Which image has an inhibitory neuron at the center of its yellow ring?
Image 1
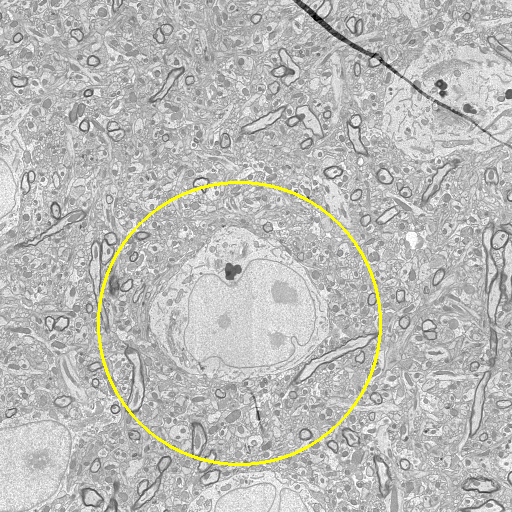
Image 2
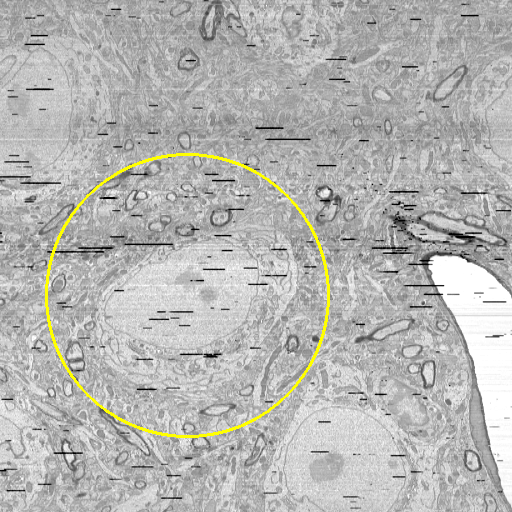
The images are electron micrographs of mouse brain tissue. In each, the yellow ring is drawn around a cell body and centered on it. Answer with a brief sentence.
It is at the center of the ring in Image 2.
